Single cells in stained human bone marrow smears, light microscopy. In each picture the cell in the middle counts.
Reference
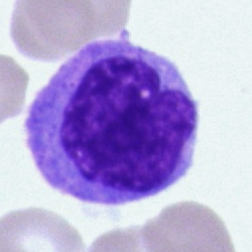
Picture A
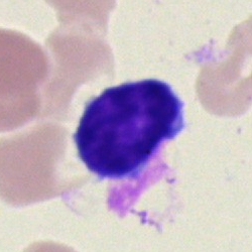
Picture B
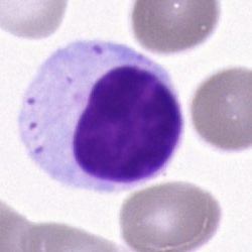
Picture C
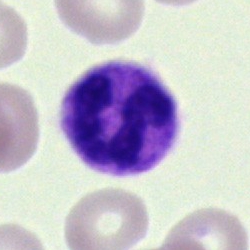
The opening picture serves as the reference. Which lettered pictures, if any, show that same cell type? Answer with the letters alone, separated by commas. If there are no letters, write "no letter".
no letter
